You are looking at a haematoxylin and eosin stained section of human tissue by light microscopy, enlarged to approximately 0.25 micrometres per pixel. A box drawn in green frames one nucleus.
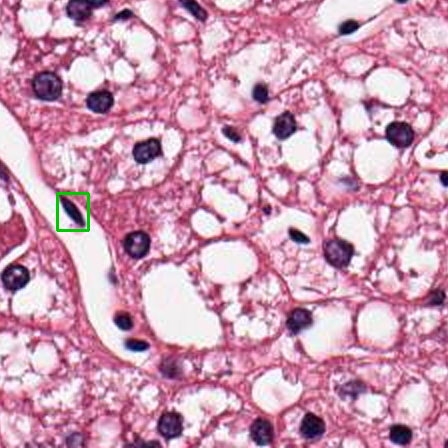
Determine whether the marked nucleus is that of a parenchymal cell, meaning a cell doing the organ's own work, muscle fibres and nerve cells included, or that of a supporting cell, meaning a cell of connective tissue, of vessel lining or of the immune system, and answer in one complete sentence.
The marked nucleus sits within a supporting cell.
